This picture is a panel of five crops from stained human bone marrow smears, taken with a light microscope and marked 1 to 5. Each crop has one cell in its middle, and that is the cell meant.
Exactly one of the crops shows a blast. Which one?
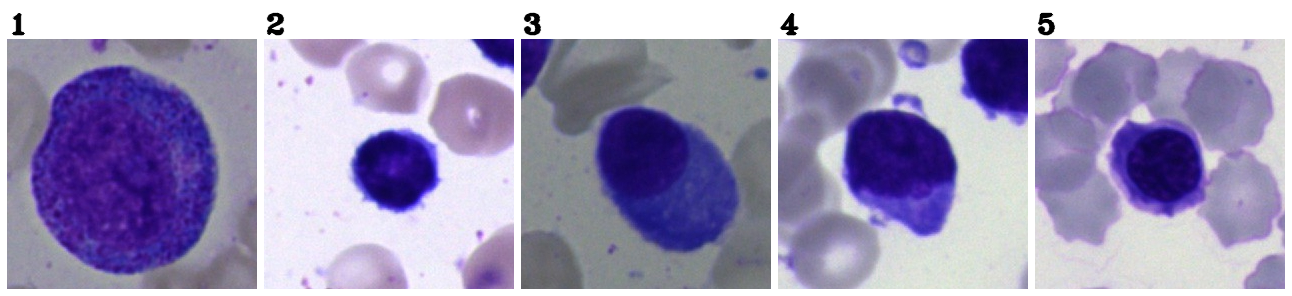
4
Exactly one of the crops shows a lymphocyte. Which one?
2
